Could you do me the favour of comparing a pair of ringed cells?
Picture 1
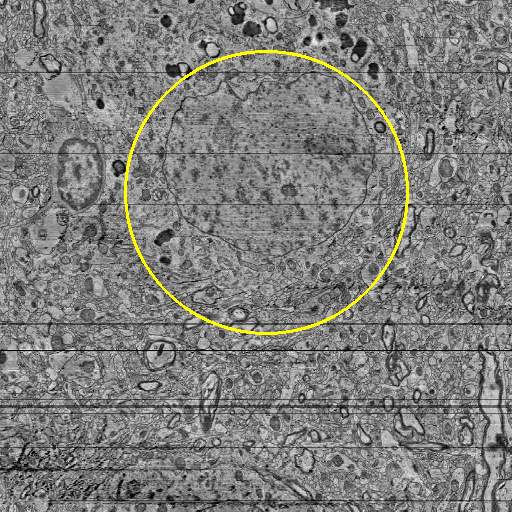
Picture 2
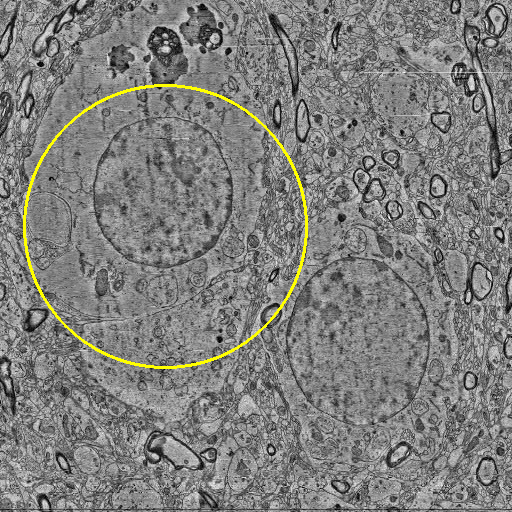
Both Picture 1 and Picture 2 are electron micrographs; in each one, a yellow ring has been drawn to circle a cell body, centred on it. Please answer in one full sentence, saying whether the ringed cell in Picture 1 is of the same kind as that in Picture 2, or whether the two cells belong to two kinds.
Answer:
The ringed cells in Picture 1 and Picture 2 belong to two kinds.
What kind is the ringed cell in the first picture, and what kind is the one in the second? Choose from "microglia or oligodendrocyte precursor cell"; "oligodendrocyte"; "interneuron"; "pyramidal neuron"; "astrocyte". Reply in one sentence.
The first cell is a pyramidal neuron; the second is an astrocyte.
